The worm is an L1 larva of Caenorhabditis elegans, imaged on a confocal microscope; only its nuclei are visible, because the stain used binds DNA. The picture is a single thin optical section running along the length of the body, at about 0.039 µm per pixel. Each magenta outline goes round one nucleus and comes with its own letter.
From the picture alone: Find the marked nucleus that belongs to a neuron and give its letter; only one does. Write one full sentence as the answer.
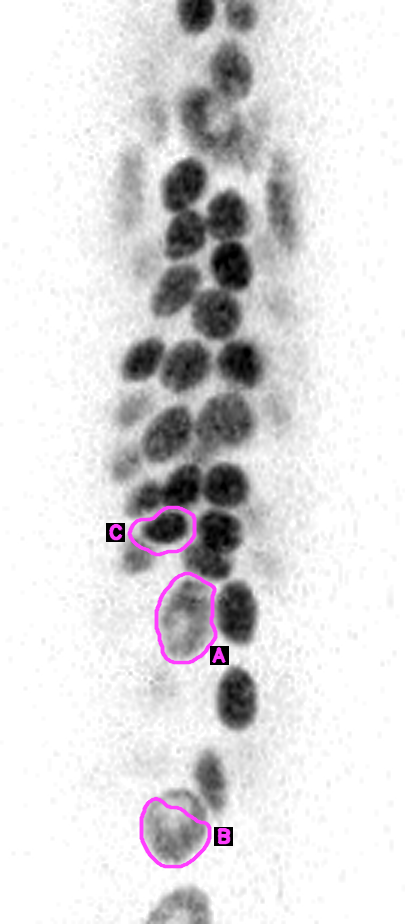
The nucleus of a neuron is C.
